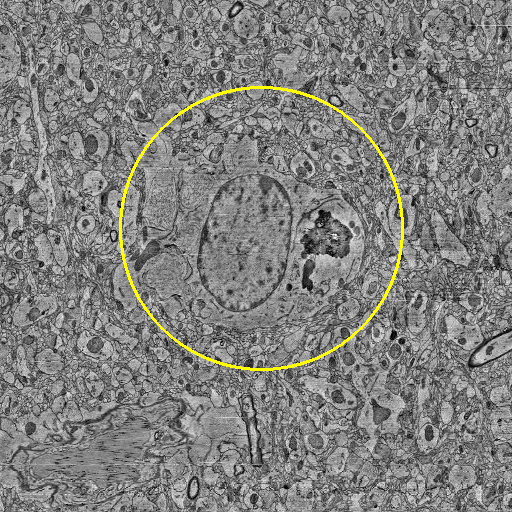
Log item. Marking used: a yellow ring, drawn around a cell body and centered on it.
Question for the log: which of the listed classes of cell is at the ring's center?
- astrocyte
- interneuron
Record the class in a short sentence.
At the center of the ring lies an astrocyte.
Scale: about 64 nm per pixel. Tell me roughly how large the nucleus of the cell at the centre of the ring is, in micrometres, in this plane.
About 9 by 6 micrometres in this plane; clearly longer than it is wide.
